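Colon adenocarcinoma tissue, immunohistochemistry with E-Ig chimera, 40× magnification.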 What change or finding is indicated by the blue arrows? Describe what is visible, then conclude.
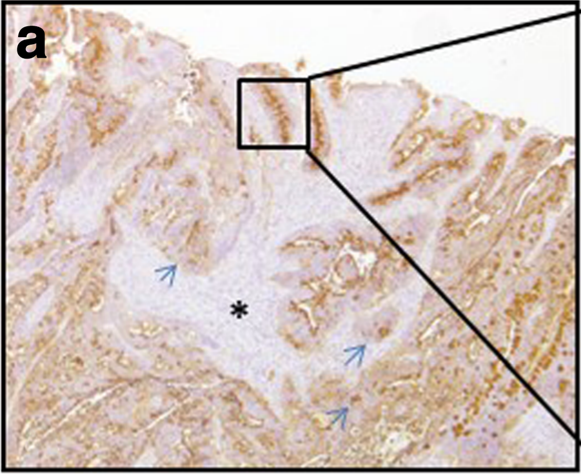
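The blue arrows point to small clusters of cells at the edge of the pale stromal area. These clusters are partly stained brown. So: nests of neoplastic cells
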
